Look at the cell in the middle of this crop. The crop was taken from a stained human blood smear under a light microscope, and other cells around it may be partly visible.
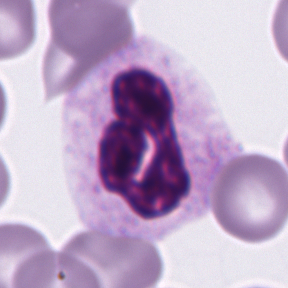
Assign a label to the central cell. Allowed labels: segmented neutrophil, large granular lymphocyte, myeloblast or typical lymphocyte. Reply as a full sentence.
The cell featured at the centre of this crop is a segmented neutrophil.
